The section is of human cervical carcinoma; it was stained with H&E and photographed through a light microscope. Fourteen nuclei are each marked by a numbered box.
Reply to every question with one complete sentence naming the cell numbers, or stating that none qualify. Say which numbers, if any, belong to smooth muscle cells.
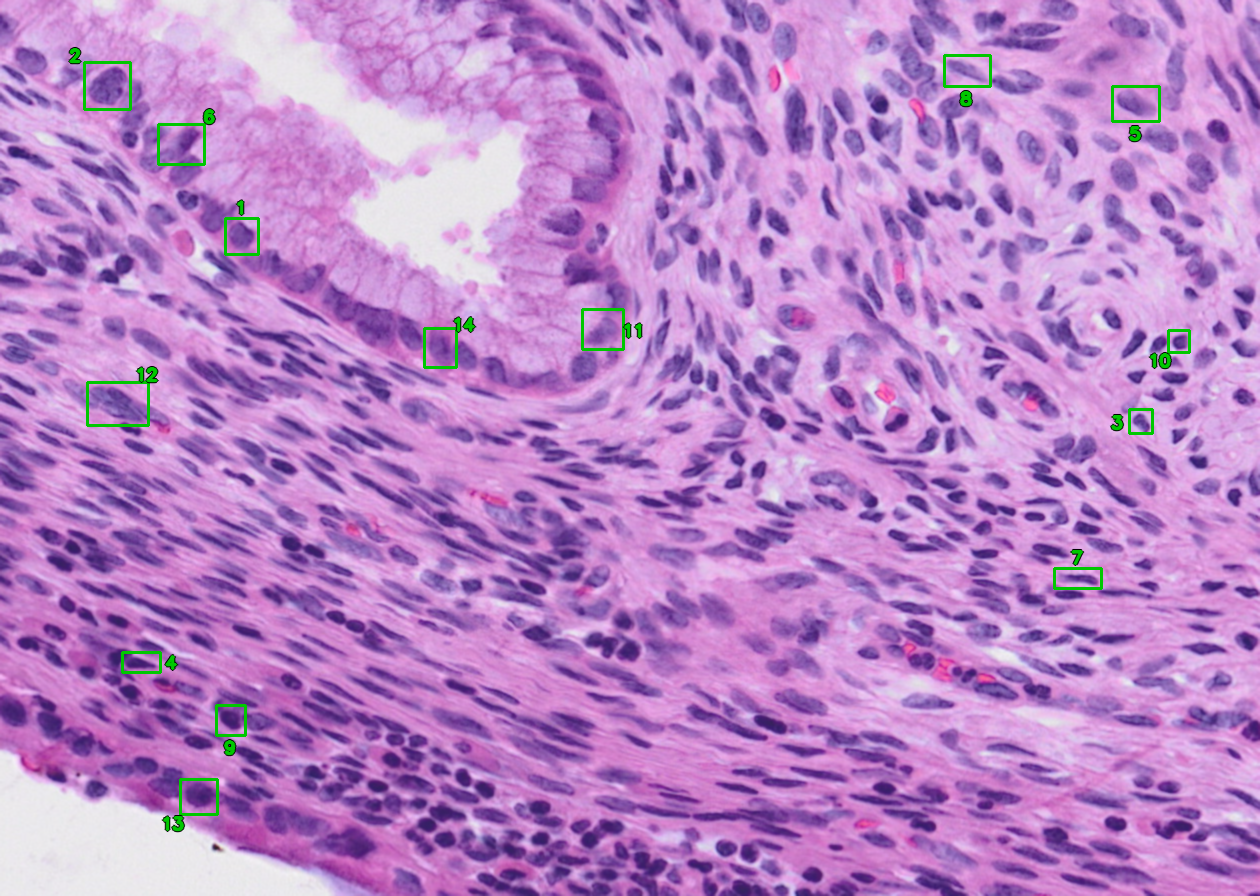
From first to last, the numbered cells include no smooth muscle cells.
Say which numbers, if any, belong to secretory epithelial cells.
The cells which carry the numbers 1, 2, 6, 11, 13 and 14 are secretory epithelial cells.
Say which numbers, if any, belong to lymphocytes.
The cells labelled 4 and 9 in this section are lymphocytes.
